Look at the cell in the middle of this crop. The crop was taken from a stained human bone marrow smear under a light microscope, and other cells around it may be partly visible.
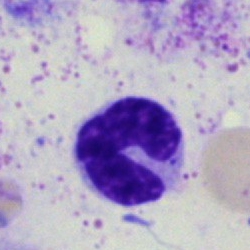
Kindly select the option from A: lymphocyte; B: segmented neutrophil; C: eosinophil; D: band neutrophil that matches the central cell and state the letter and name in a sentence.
Option D is the correct selection, for the cell at the centre is a band neutrophil.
